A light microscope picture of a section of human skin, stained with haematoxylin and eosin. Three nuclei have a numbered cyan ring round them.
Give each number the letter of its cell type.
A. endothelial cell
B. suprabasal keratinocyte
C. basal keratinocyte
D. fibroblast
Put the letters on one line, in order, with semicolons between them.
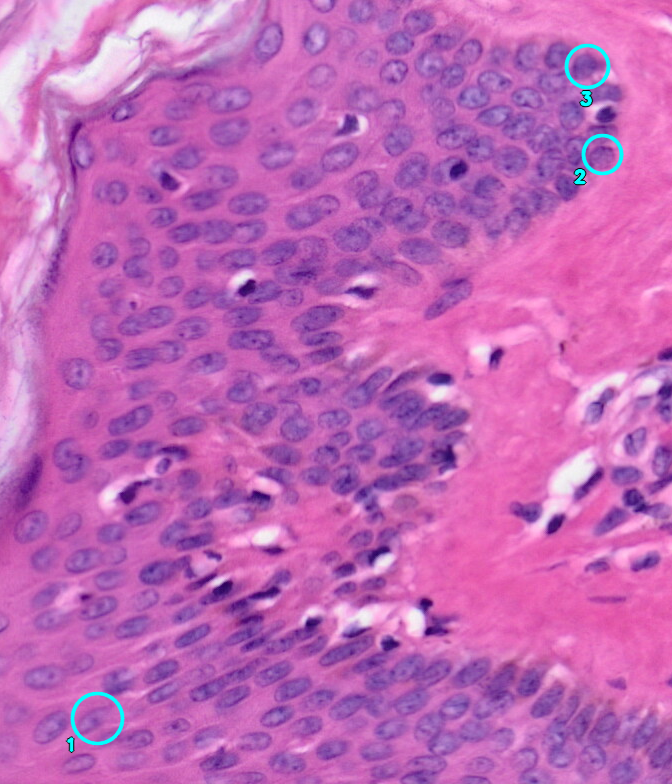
B; C; C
